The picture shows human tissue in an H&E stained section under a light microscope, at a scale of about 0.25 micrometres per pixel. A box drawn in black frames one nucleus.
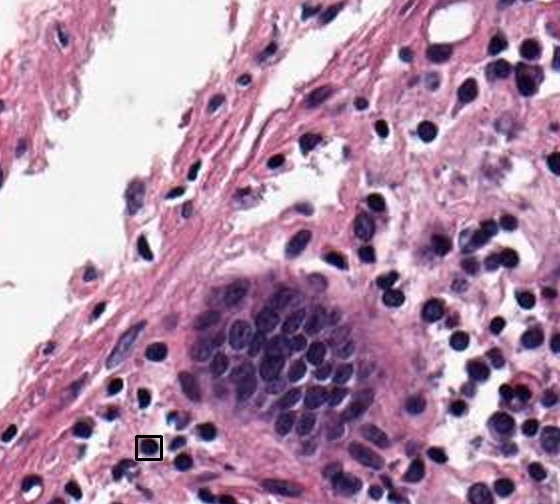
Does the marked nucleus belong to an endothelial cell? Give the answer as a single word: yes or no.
no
